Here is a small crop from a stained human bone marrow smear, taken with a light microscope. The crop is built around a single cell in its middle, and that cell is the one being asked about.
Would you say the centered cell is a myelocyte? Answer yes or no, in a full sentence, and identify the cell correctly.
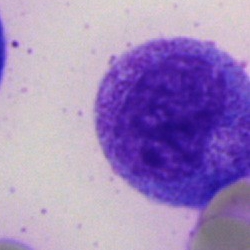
Yes, the cell under consideration, the one in the middle, is a myelocyte.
